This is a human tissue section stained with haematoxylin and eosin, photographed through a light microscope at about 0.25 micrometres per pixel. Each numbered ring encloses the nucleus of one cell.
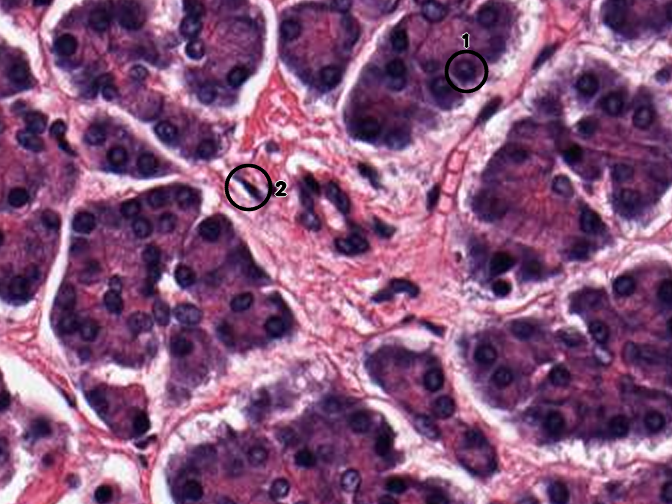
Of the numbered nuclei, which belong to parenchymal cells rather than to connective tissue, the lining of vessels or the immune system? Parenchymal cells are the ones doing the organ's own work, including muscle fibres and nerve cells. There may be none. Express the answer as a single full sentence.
It is nucleus 1, and no other, that belongs to a parenchymal cell.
